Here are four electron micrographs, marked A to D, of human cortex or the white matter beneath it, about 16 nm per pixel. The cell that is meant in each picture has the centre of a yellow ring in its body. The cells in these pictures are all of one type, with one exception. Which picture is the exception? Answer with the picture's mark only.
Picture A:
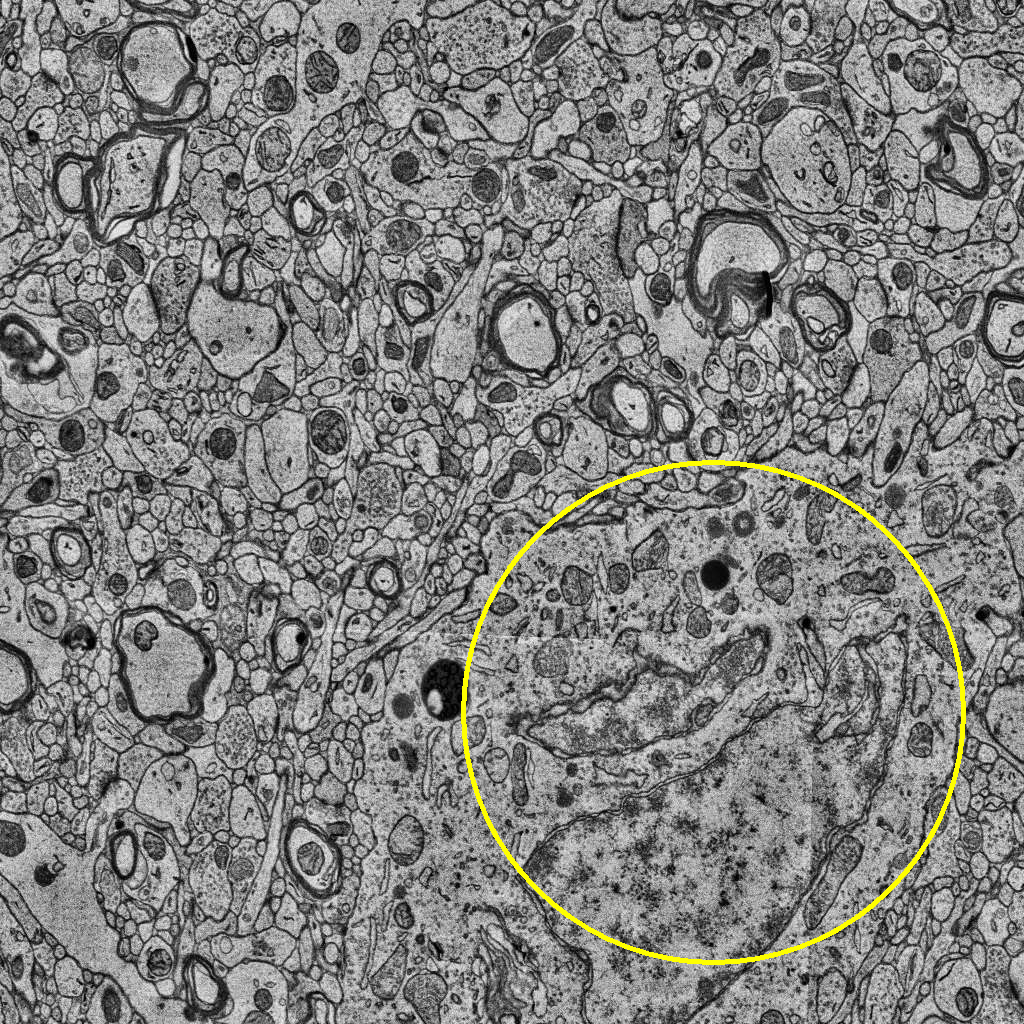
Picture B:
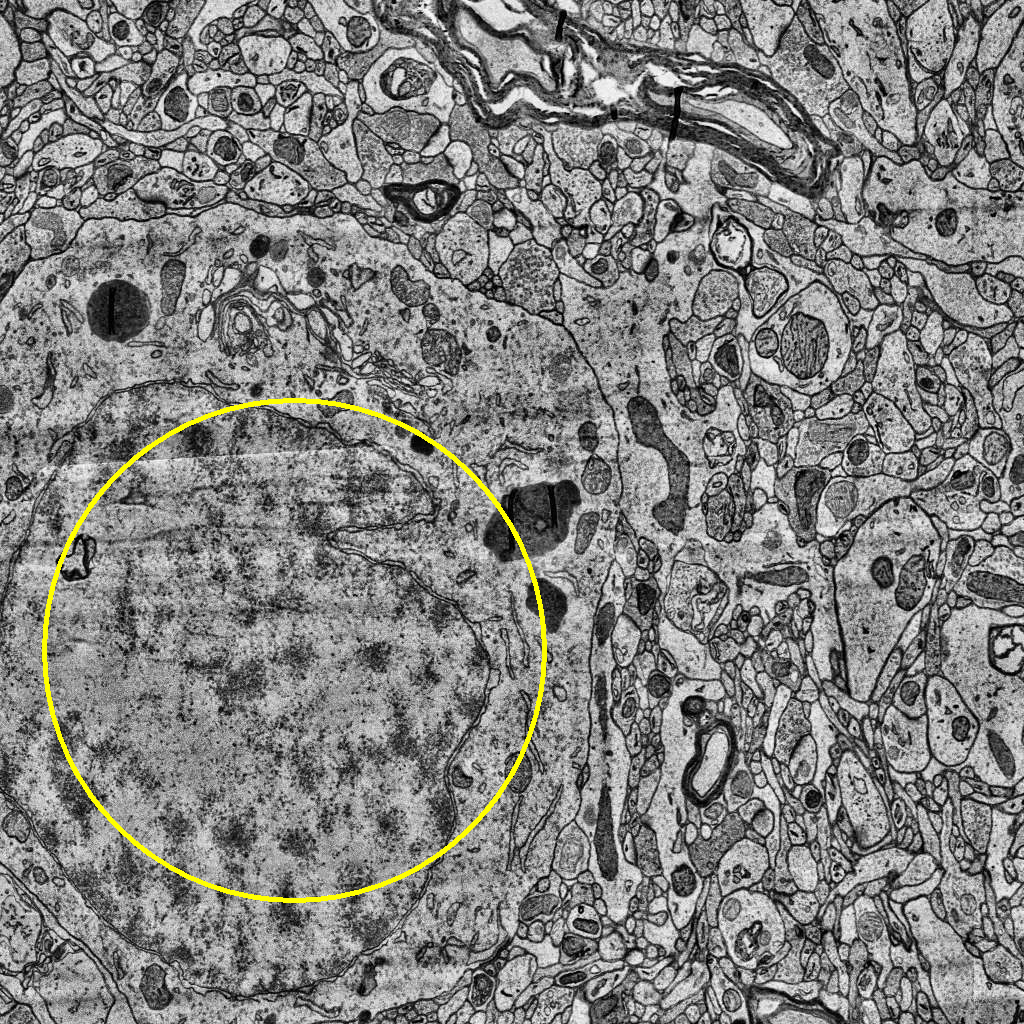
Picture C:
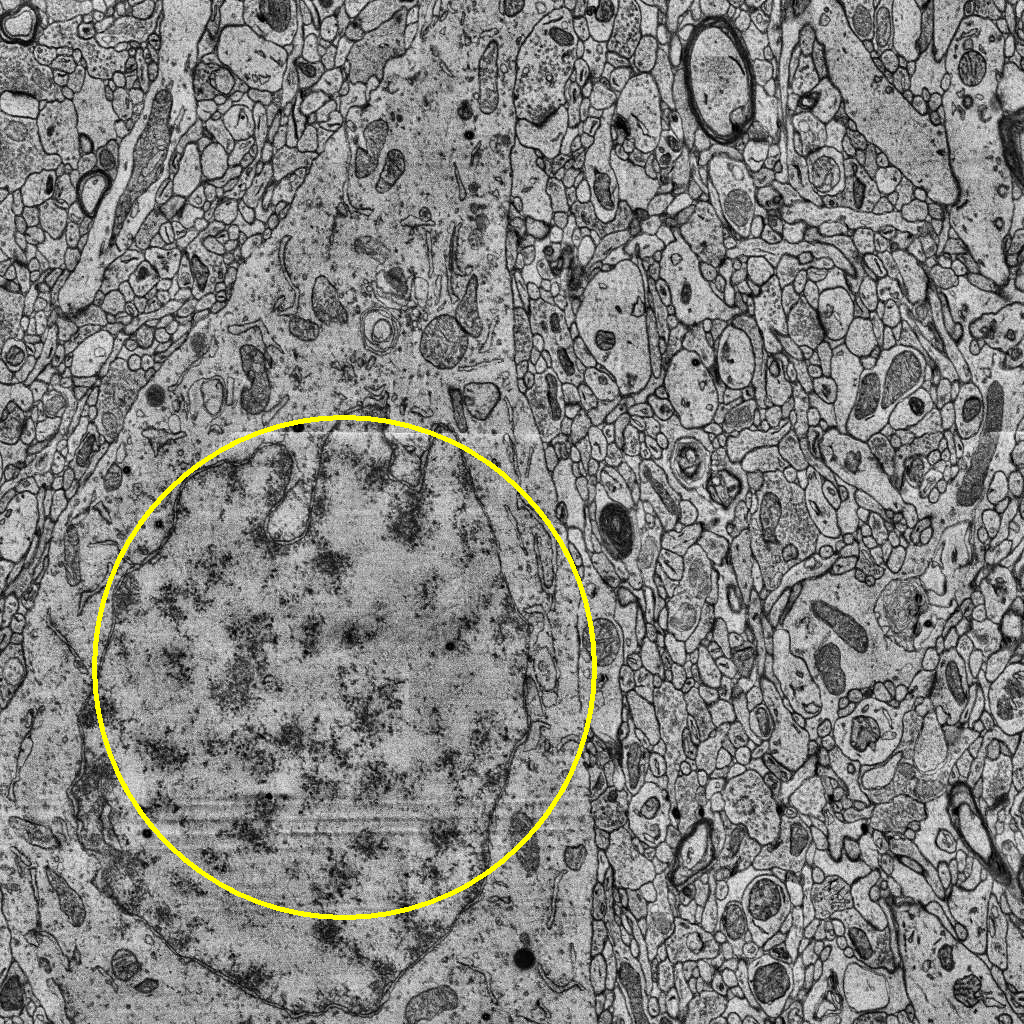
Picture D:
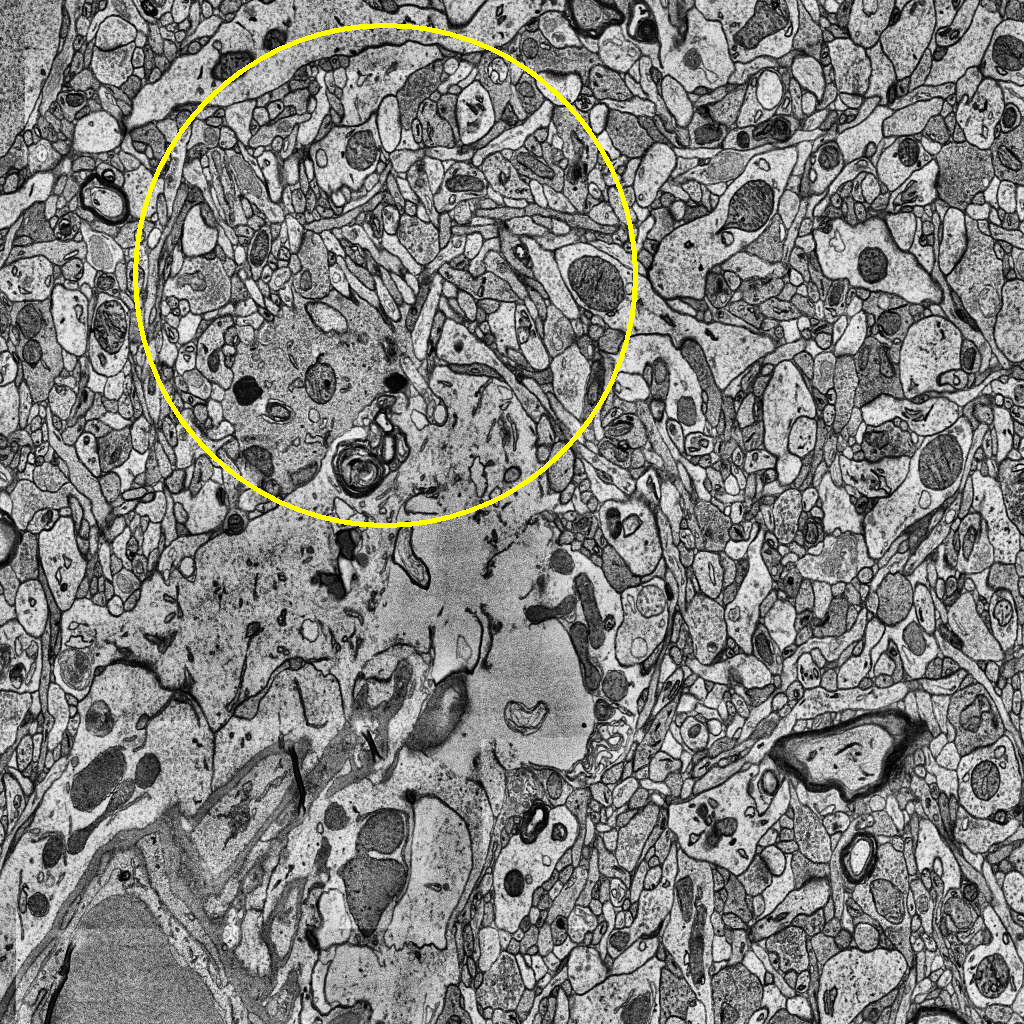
D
